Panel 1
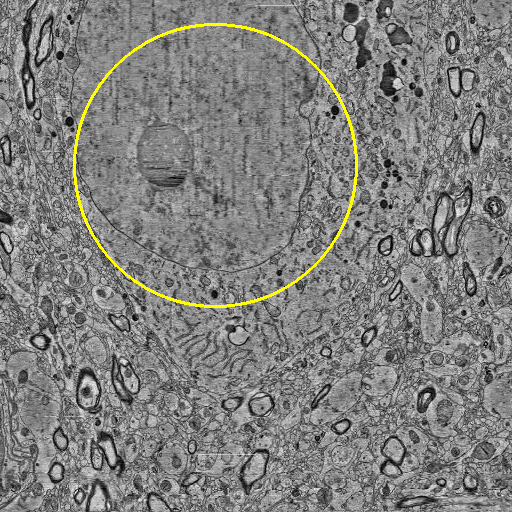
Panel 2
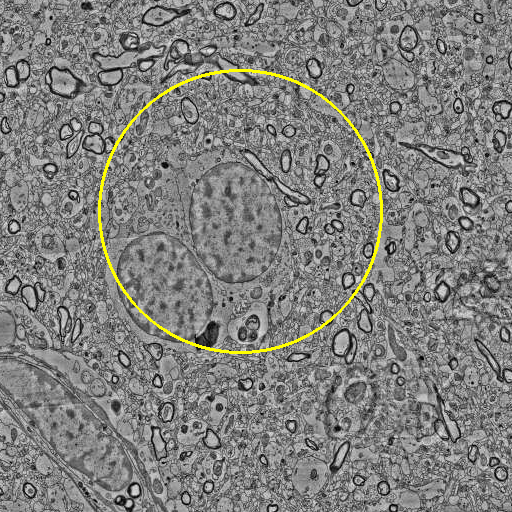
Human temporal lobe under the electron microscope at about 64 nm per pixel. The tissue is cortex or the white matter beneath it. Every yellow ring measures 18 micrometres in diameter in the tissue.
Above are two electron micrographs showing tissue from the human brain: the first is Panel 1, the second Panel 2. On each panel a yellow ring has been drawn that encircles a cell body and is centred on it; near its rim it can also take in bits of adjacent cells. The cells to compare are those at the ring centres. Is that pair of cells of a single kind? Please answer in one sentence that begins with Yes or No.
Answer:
No, the ring-centred cells of Panel 1 and Panel 2 belong to two kinds.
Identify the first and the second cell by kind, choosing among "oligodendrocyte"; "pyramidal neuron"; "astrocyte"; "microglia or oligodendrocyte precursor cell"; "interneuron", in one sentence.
The one in the first picture is a pyramidal neuron, while the one in the second is an oligodendrocyte.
